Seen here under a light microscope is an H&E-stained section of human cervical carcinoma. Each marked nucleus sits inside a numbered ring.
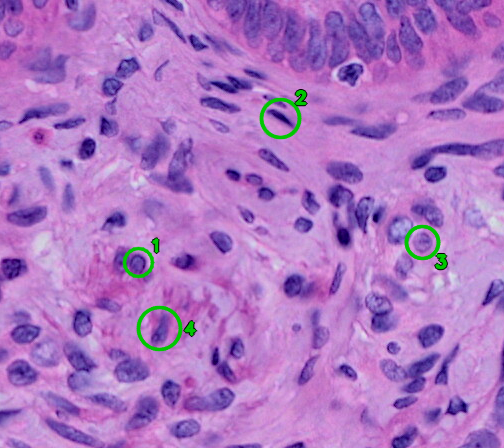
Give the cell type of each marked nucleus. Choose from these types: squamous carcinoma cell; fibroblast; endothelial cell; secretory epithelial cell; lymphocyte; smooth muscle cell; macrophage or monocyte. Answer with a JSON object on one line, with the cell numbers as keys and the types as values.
{"1": "smooth muscle cell", "2": "fibroblast", "3": "endothelial cell", "4": "smooth muscle cell"}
